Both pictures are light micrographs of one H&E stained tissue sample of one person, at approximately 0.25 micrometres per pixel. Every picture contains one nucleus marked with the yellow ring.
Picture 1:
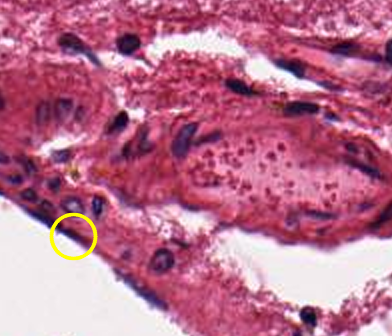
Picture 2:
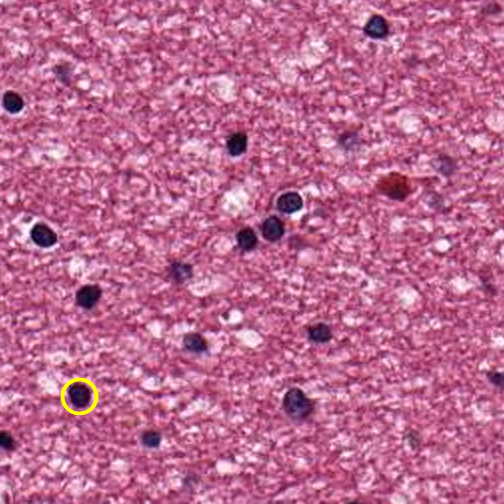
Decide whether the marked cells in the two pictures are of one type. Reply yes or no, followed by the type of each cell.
No, the first is an endothelial cell and the second an oligodendrocyte.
